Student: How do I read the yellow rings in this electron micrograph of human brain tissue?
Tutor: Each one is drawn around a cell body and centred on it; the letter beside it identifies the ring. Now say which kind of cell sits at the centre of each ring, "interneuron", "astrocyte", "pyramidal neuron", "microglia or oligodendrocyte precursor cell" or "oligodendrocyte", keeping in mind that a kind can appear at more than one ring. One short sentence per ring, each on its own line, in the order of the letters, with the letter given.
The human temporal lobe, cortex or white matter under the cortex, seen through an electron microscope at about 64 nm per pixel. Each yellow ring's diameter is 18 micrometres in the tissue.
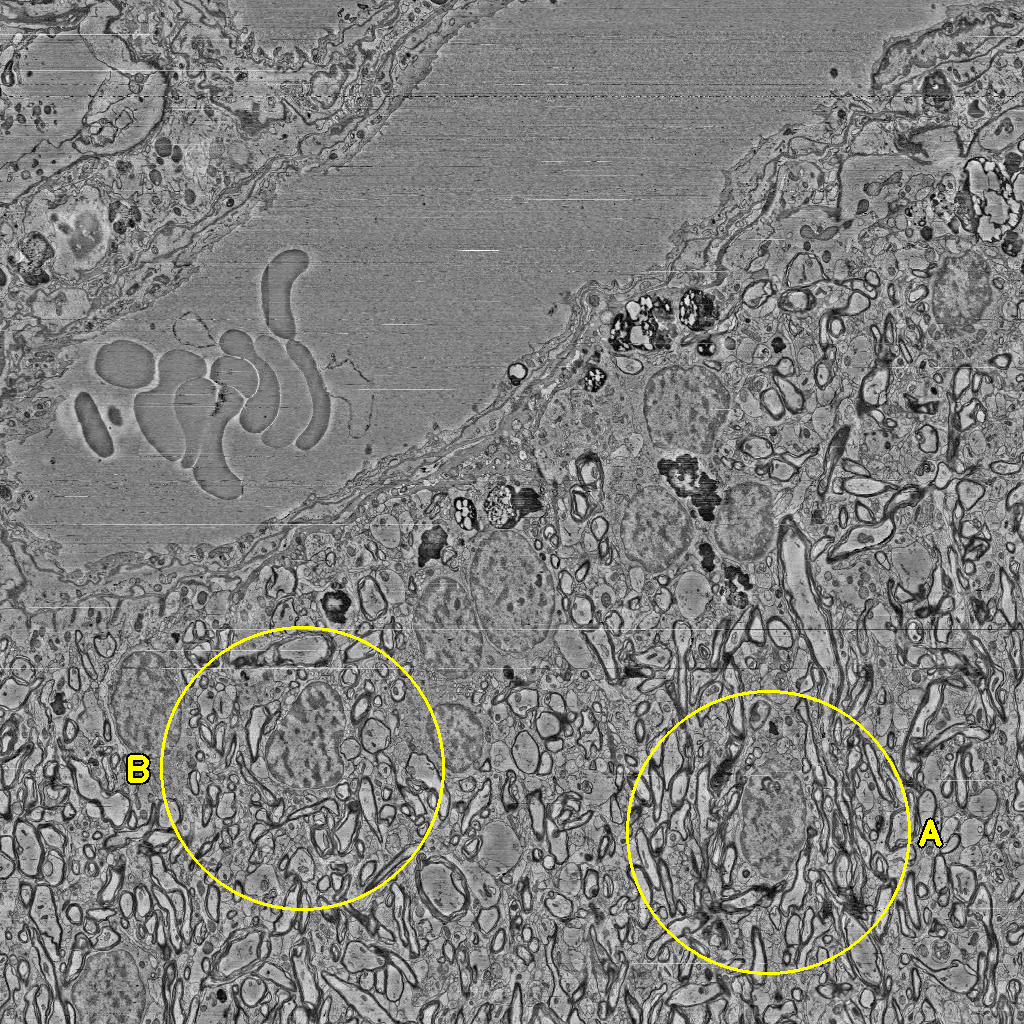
In the centre of ring A is an oligodendrocyte.
In the centre of ring B is a microglial cell or oligodendrocyte precursor cell.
